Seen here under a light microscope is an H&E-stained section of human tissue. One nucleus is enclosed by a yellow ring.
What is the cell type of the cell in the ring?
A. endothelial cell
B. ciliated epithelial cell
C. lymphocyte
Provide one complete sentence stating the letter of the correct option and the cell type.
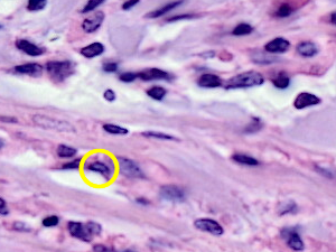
The correct response is option A: the cell in the ring is an endothelial cell.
